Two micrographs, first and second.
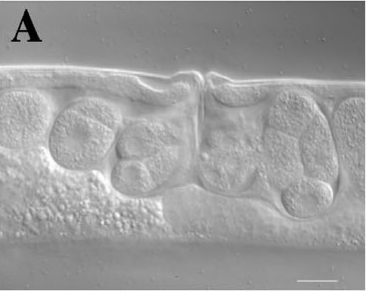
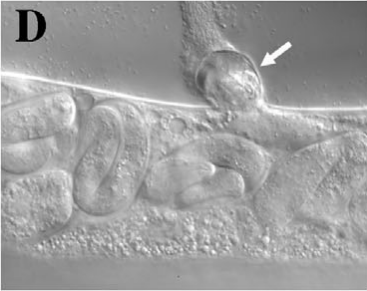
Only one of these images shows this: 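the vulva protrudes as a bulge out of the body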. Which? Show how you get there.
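The second image. First image: the vulva is a small opening flush with the body wall. Second image: a rounded mass bulges out well beyond the body wall.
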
